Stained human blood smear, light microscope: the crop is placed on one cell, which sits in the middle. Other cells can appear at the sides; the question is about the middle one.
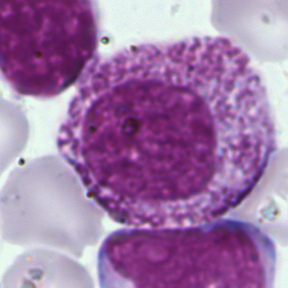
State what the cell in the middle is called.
myelocyte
